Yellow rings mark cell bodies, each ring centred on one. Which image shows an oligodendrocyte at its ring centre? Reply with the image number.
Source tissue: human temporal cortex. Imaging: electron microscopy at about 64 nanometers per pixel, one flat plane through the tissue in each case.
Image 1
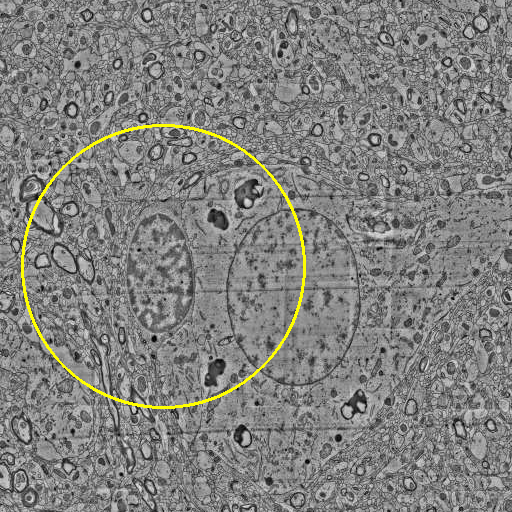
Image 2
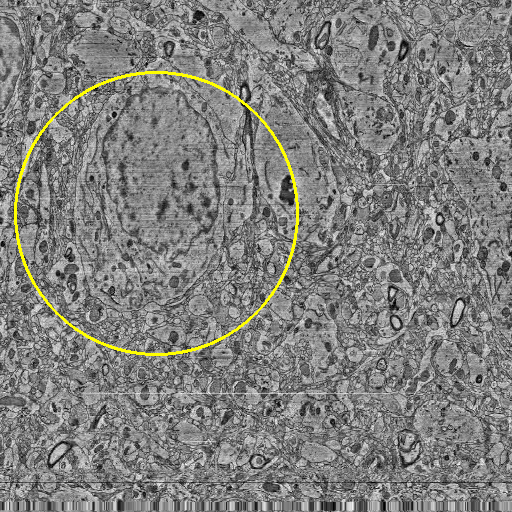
1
